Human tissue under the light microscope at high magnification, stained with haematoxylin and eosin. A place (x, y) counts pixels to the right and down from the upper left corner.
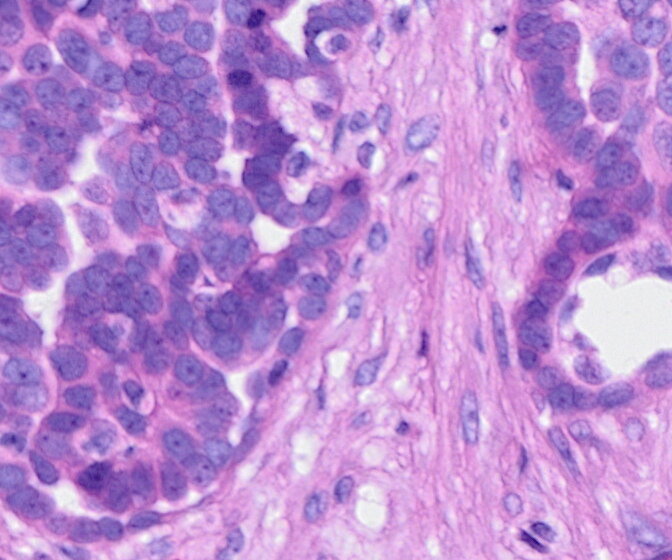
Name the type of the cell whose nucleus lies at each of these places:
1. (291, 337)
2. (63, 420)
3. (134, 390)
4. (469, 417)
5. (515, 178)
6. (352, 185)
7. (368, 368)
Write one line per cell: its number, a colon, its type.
1: carcinoma cell
2: carcinoma cell
3: macrophage or monocyte
4: fibroblast
5: fibroblast
6: carcinoma cell
7: fibroblast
